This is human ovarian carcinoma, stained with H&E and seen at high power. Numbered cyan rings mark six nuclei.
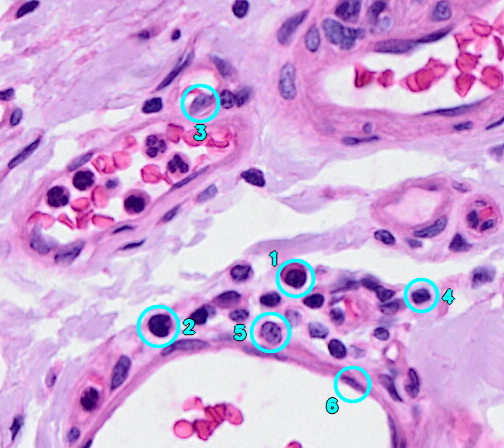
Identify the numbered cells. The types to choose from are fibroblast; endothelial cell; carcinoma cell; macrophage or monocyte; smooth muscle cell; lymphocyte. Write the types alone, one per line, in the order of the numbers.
lymphocyte
lymphocyte
endothelial cell
lymphocyte
lymphocyte
endothelial cell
